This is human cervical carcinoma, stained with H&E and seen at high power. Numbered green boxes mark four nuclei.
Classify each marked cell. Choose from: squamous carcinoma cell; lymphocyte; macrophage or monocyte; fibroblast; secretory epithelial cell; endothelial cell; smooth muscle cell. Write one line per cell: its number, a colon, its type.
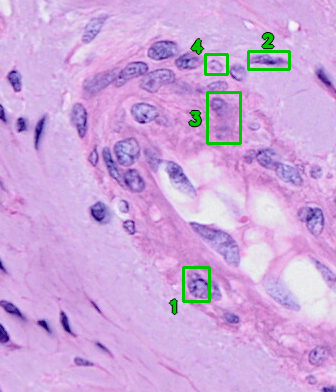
1: smooth muscle cell
2: fibroblast
3: smooth muscle cell
4: smooth muscle cell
